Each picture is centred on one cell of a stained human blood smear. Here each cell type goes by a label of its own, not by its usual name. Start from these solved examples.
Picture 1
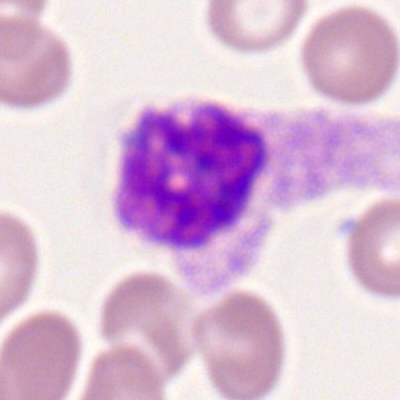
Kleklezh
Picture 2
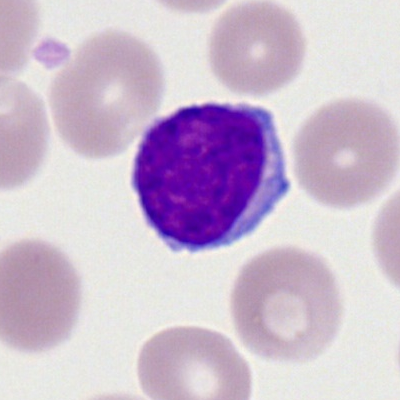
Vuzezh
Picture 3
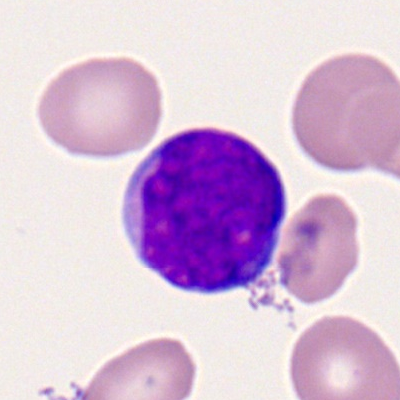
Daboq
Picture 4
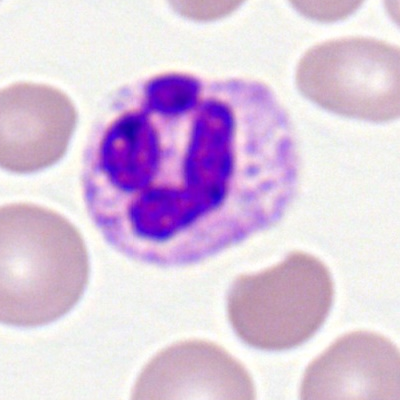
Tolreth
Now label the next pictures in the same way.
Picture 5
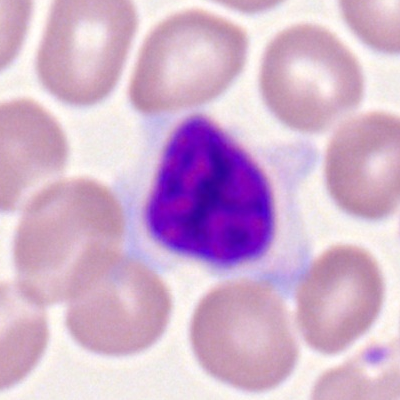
Vuzezh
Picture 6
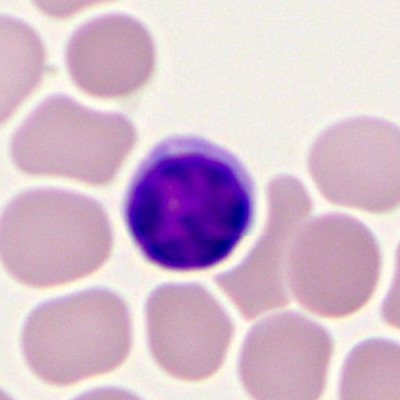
Vuzezh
